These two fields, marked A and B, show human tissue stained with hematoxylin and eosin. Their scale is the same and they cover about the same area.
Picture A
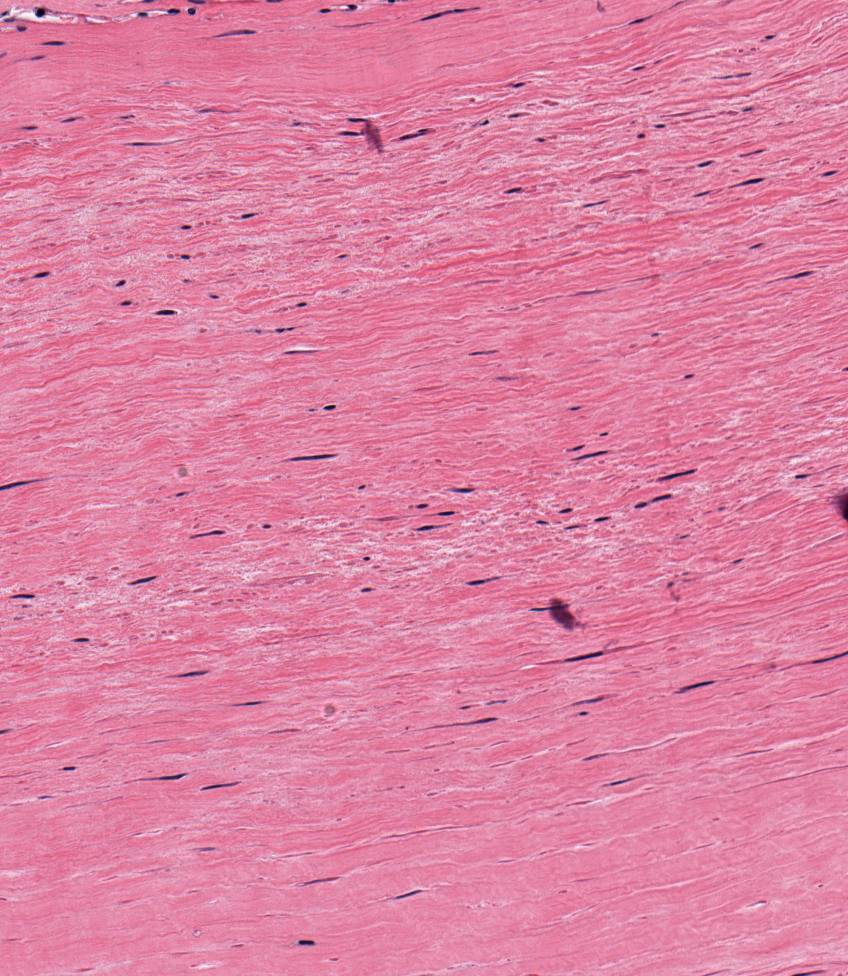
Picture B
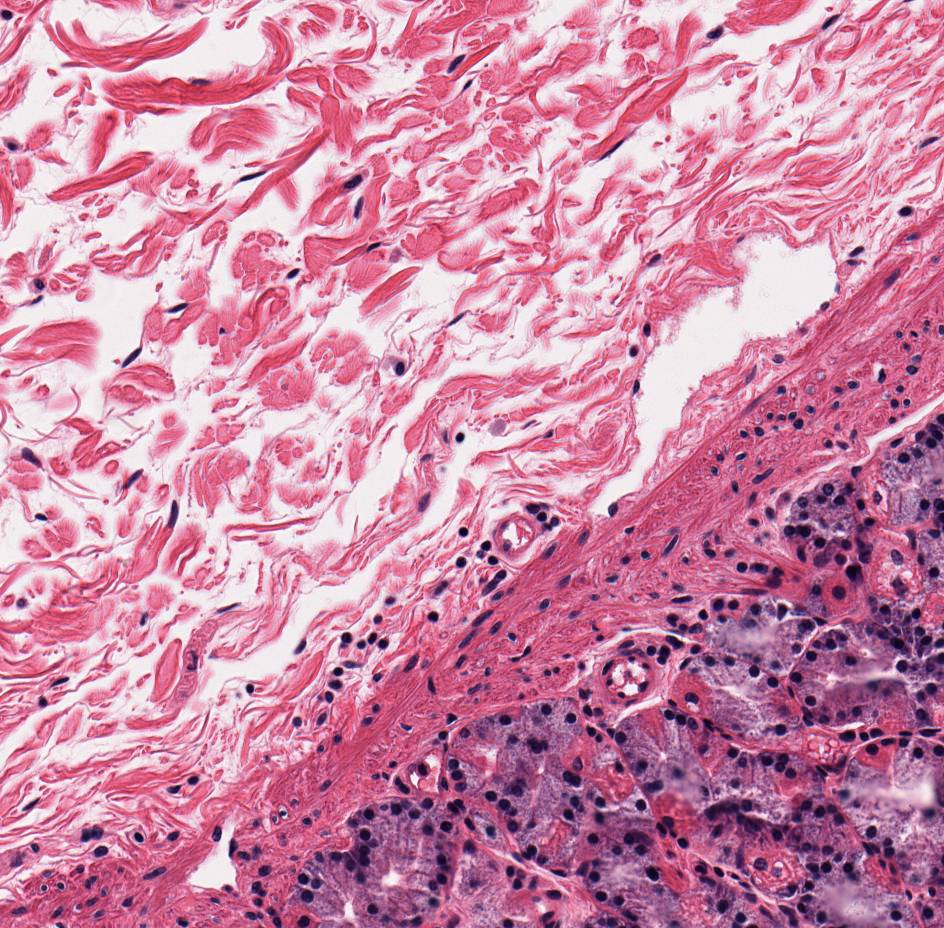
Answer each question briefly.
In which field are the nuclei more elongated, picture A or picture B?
A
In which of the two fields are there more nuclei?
B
